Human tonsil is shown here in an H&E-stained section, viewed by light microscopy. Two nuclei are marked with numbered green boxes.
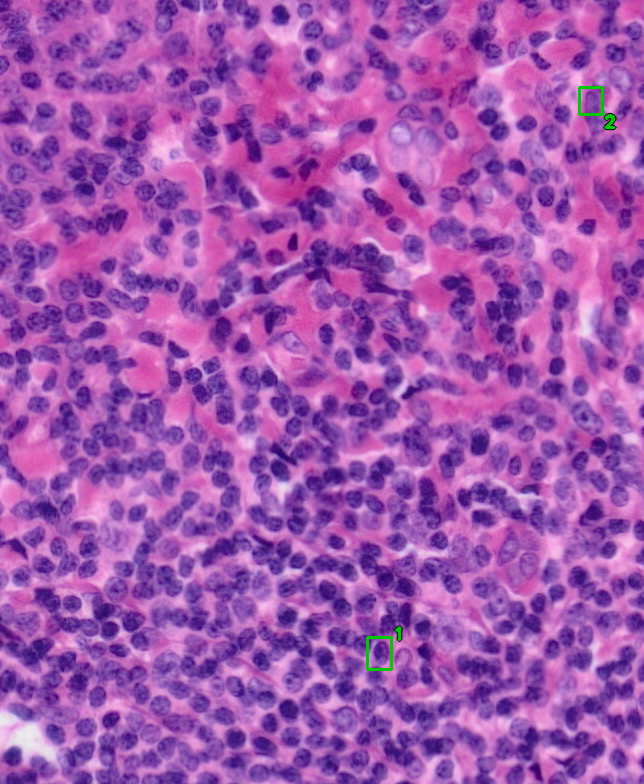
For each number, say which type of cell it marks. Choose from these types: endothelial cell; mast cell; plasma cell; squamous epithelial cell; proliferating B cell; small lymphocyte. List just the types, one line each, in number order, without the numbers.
small lymphocyte
endothelial cell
